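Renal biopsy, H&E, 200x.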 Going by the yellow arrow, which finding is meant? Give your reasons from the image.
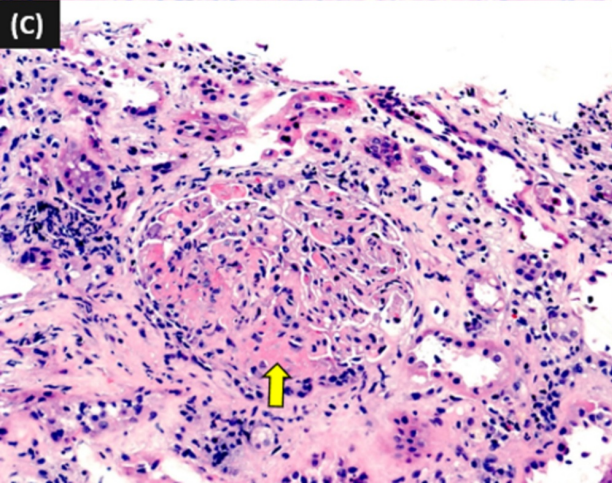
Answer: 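Part of the glomerular tuft is replaced by pale pink, smudgy material lacking clear nuclei. The rest of the glomerulus keeps its capillary loops.
Segmental necrosis.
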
